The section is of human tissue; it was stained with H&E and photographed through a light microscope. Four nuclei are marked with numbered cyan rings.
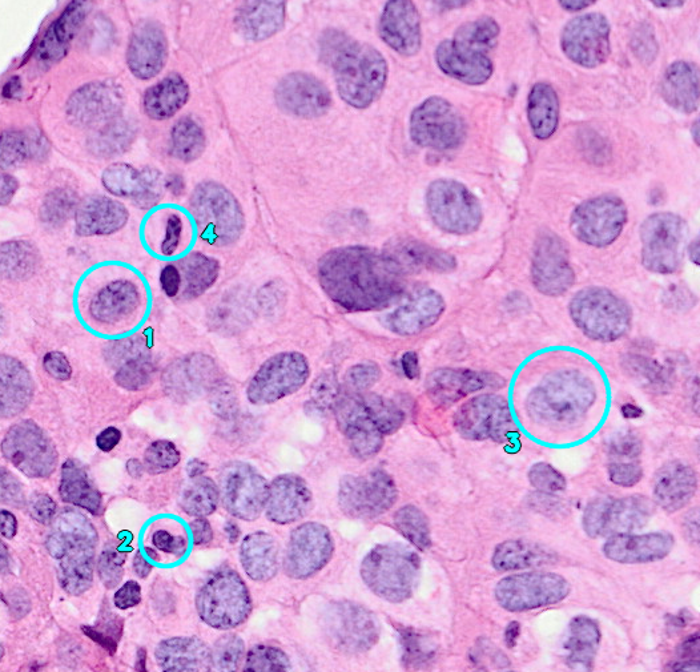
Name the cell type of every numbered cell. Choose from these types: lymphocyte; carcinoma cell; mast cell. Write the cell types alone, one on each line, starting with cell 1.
carcinoma cell
lymphocyte
carcinoma cell
lymphocyte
